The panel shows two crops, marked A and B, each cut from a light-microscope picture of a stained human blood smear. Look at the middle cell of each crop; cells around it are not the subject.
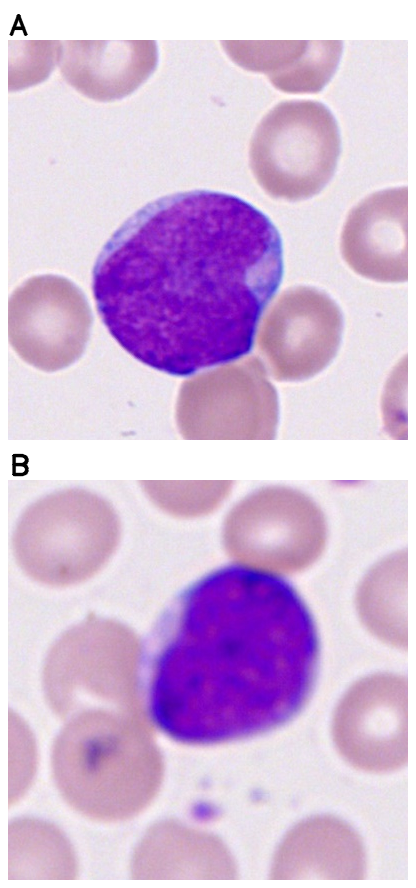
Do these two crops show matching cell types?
yes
